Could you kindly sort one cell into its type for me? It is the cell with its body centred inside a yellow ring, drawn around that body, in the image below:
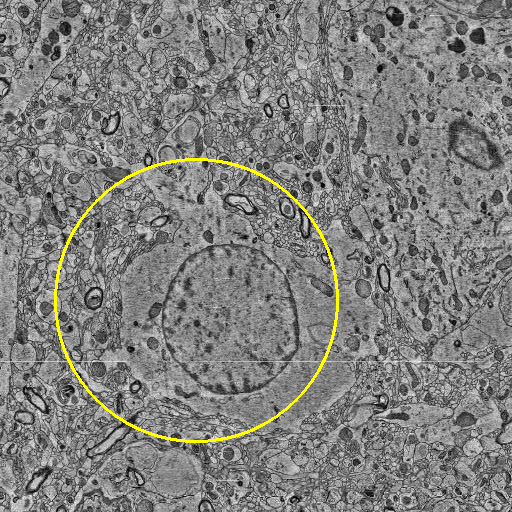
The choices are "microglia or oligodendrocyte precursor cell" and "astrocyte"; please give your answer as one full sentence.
The cell whose body lies centred in the yellow ring here is an astrocyte.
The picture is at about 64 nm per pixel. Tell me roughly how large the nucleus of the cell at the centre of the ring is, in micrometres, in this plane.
Roughly 9 micrometers across in this plane.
